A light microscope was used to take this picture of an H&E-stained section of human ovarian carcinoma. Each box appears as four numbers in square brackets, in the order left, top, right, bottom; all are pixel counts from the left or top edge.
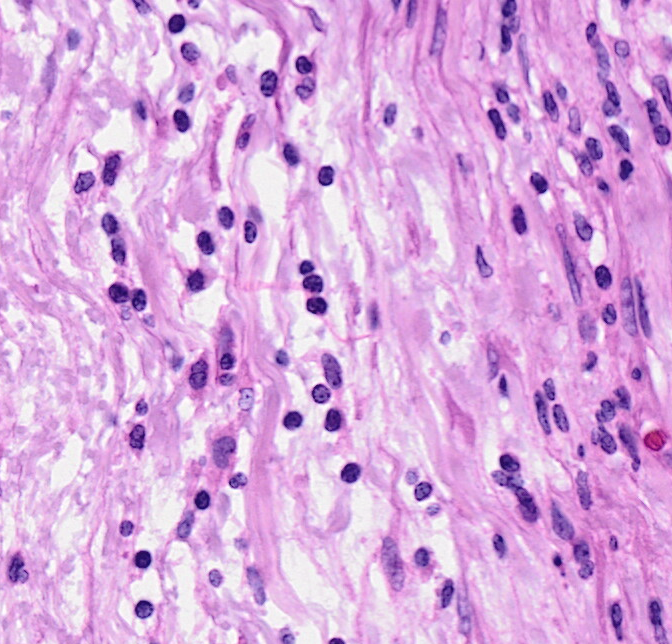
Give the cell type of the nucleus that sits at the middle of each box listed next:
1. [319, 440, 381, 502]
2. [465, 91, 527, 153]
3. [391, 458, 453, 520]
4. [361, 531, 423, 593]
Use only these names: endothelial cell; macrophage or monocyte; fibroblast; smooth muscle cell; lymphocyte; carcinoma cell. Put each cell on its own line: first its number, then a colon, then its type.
1: lymphocyte
2: lymphocyte
3: lymphocyte
4: fibroblast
